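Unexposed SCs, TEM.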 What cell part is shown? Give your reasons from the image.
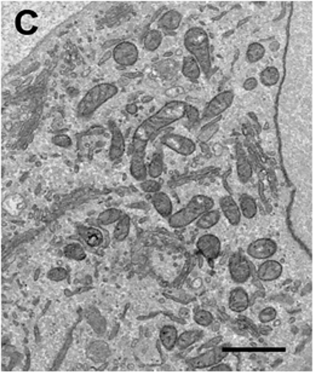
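Mitochondria. Many oval and elongated organelles with a double membrane and internal cristae fill the cytoplasm.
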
